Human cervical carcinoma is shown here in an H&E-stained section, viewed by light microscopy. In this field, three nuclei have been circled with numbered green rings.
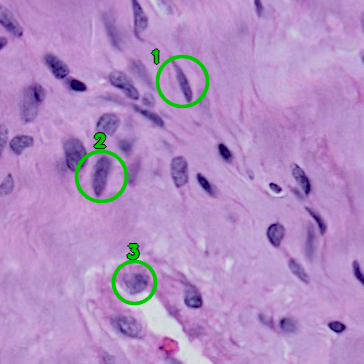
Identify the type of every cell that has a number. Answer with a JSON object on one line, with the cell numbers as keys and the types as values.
{"1": "fibroblast", "2": "fibroblast", "3": "endothelial cell"}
